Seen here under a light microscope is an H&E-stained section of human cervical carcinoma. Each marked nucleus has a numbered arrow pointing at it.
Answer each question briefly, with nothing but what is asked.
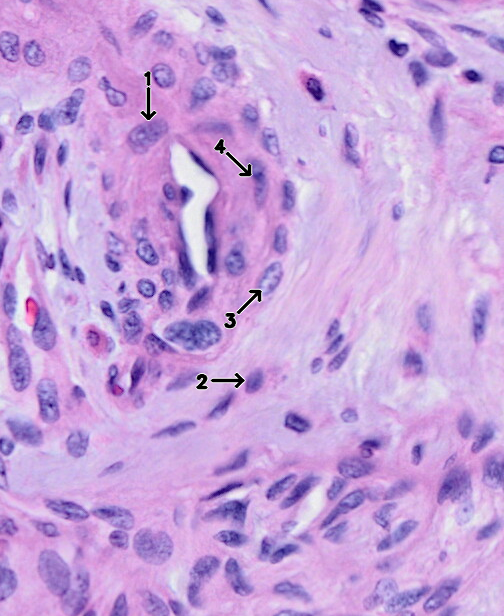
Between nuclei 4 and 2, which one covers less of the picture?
2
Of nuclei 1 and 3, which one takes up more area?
1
